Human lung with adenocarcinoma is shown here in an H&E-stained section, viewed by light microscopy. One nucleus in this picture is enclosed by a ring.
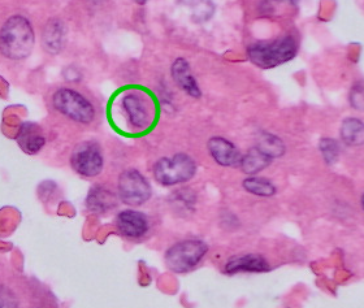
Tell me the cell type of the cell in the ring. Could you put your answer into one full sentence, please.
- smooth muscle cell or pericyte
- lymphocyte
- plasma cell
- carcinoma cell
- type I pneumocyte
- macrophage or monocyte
On this particular slide, the cell in the ring is a macrophage or monocyte.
